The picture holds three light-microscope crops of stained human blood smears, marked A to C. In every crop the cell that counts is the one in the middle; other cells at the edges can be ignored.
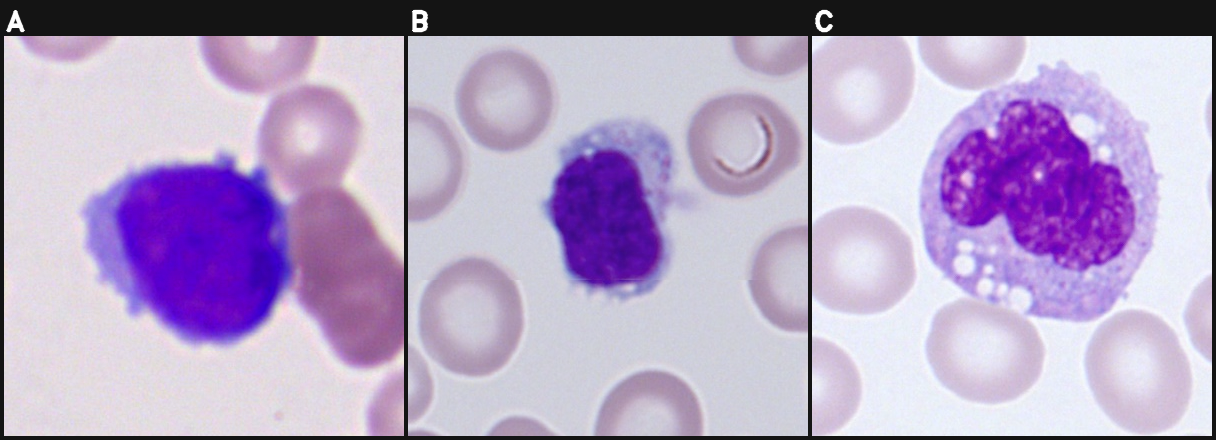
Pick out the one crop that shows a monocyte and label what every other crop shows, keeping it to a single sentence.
Of the crops, crop C shows a monocyte, while crop A is a myeloblast and crop B is a lymphocyte.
